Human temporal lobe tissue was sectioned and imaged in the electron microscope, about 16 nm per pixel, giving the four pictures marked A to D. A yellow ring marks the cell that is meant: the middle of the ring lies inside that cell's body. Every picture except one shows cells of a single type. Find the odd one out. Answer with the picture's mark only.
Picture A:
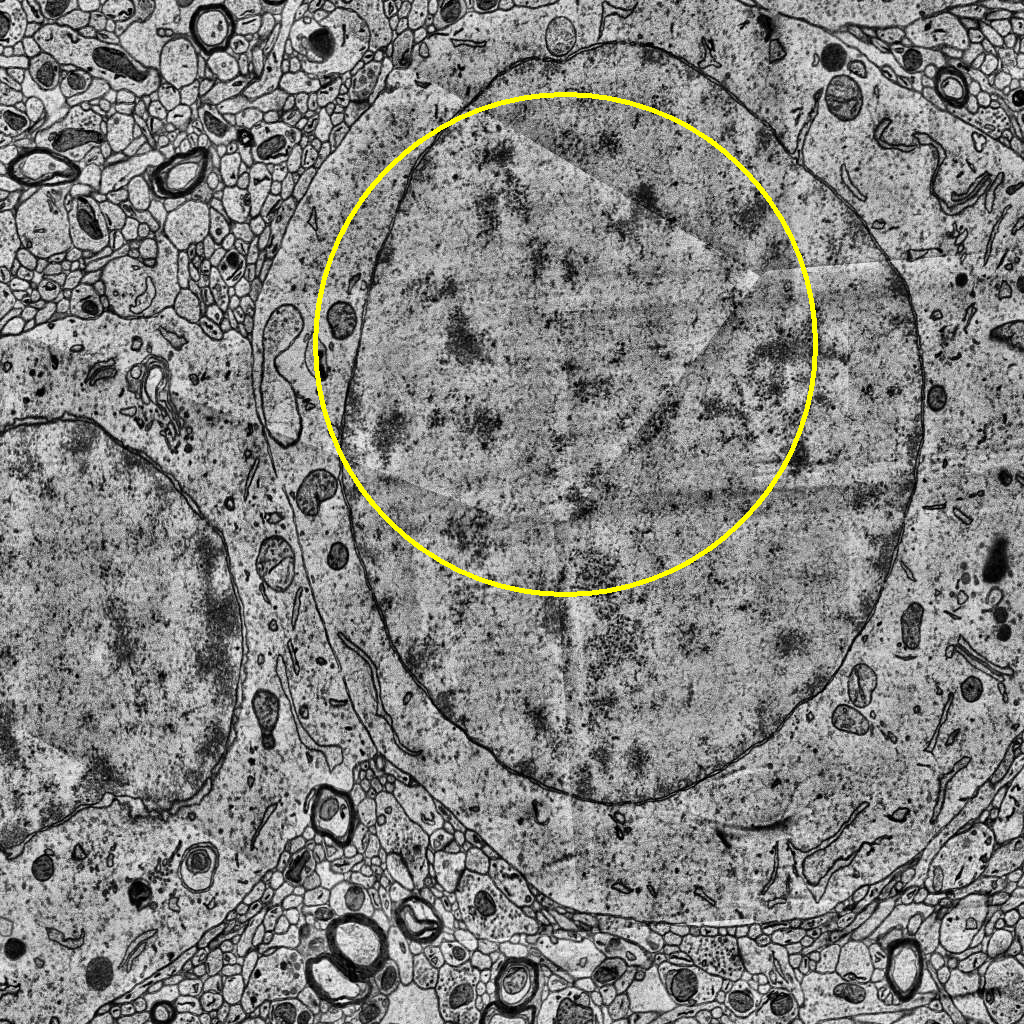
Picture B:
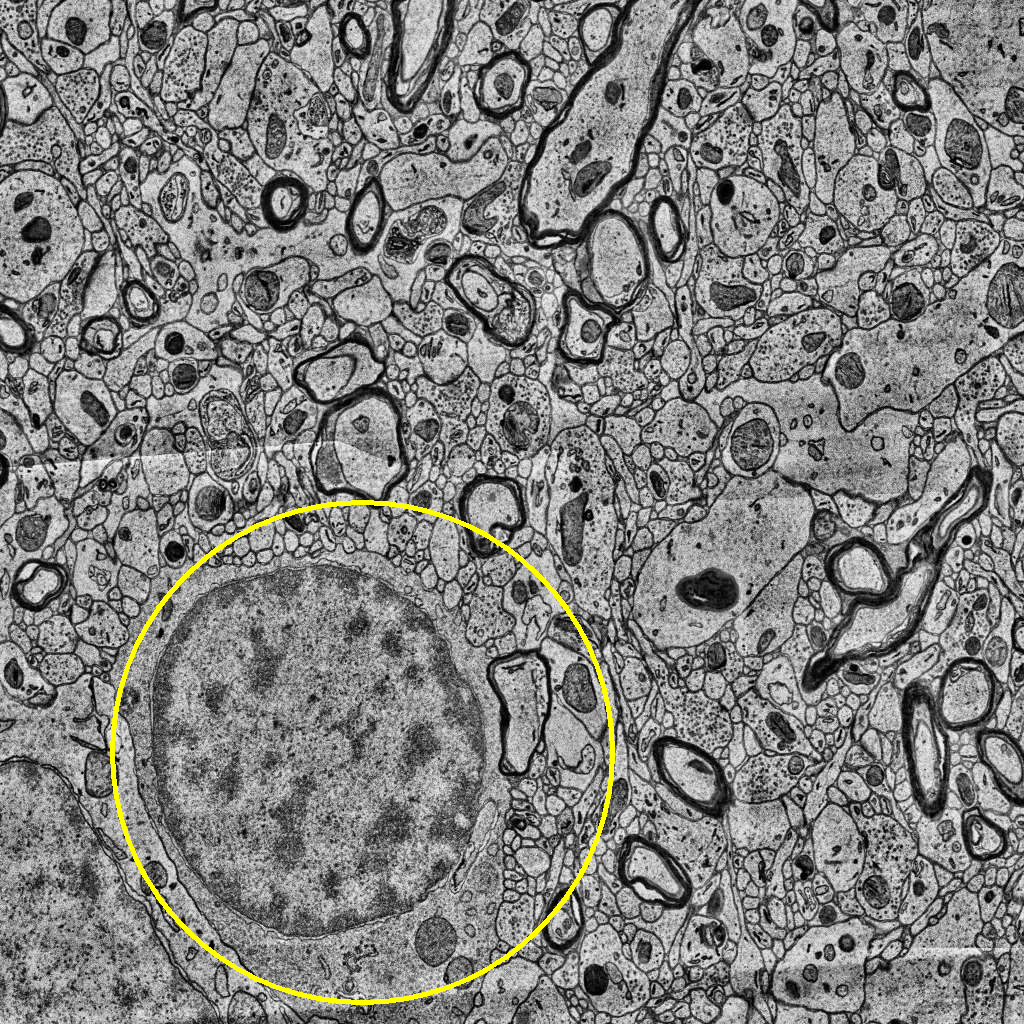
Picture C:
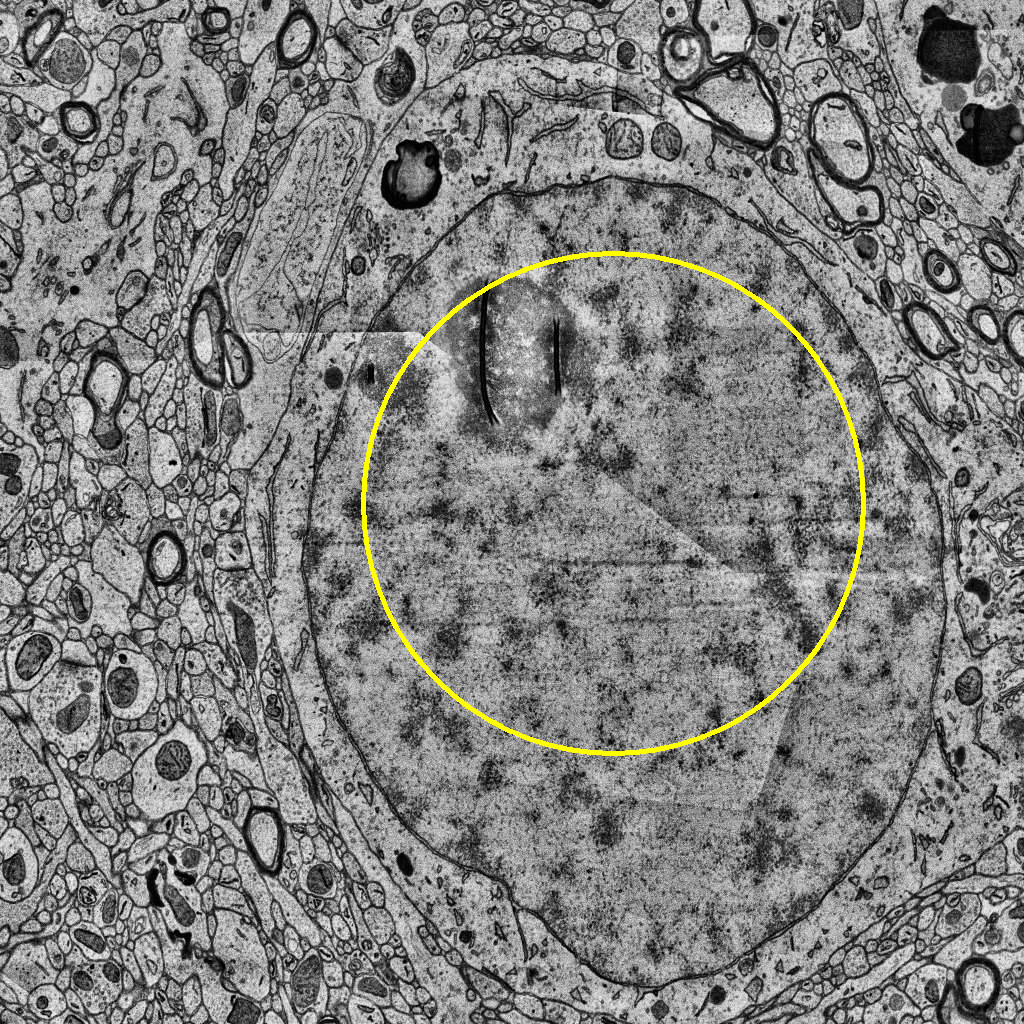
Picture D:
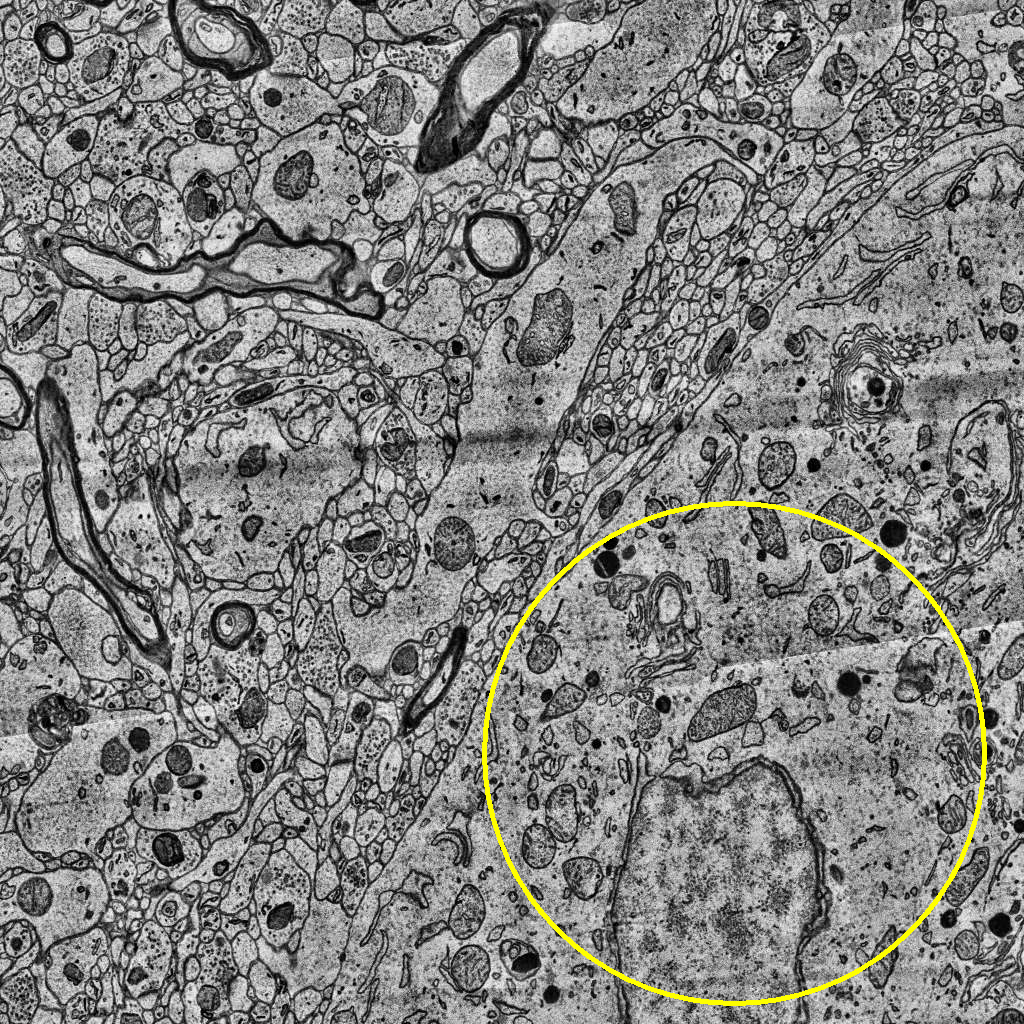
B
